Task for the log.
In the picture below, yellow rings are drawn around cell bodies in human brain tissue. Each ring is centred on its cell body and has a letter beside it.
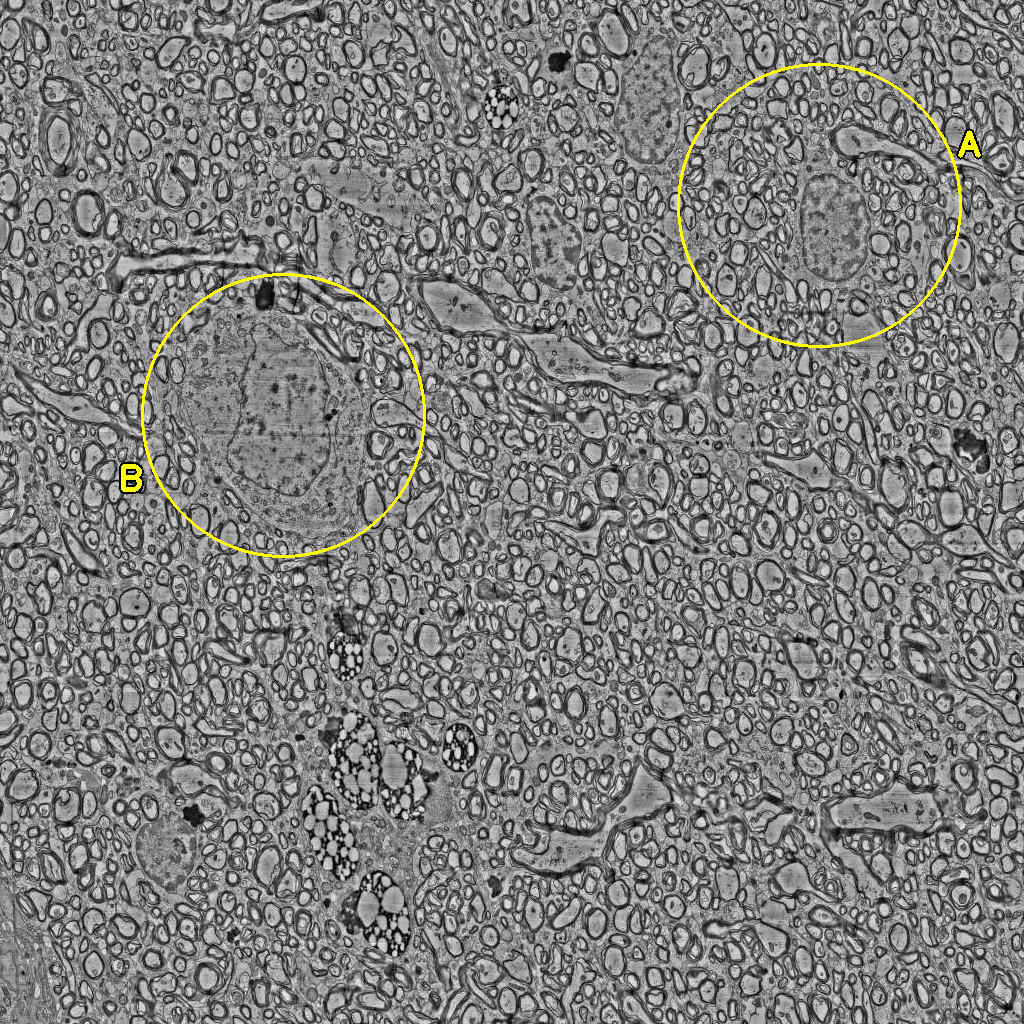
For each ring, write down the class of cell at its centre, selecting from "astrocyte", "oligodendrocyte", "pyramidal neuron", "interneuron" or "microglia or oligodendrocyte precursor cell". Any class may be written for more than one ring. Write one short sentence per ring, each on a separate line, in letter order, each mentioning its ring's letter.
The cell inside ring A, at its centre, is an oligodendrocyte.
The cell inside ring B, at its centre, is a pyramidal neuron.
